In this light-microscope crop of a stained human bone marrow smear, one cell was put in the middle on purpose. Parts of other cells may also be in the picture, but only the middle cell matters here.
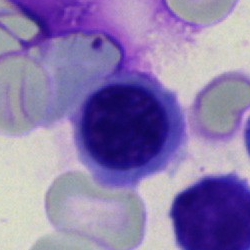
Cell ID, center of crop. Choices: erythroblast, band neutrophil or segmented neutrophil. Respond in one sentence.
The middle of this crop holds an erythroblast.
